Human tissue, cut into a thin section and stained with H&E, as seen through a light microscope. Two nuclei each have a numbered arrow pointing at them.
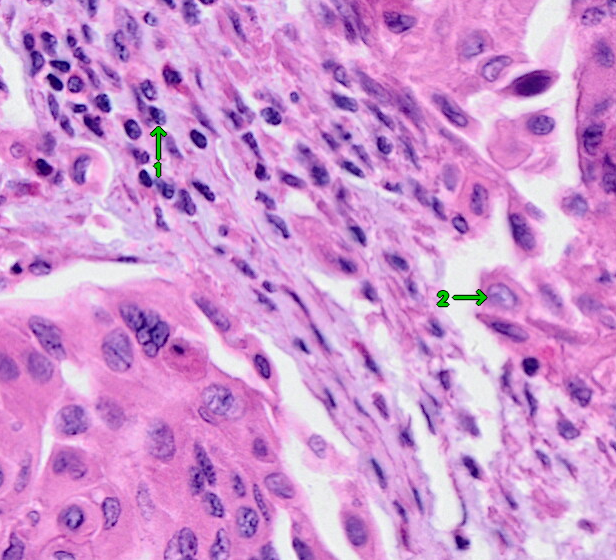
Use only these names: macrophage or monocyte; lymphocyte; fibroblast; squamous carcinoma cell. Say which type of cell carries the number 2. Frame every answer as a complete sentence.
The cell numbered 2 represents a squamous carcinoma cell.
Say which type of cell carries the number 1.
Cell 1 should be recorded as a lymphocyte.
